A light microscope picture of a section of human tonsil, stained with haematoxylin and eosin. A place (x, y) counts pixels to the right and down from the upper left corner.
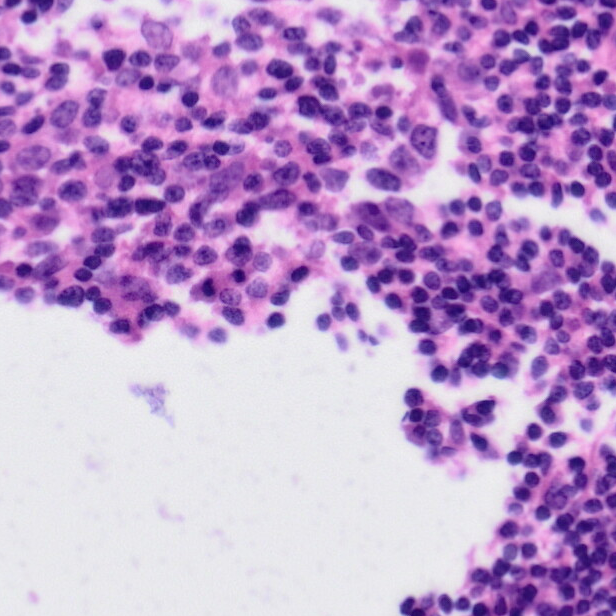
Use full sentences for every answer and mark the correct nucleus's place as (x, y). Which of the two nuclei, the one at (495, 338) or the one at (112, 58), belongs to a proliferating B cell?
The nucleus that sits at (112, 58) is the nucleus of a proliferating B cell.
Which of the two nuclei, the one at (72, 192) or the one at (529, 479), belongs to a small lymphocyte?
The nucleus at (529, 479), rather than the other one, belongs to a small lymphocyte.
